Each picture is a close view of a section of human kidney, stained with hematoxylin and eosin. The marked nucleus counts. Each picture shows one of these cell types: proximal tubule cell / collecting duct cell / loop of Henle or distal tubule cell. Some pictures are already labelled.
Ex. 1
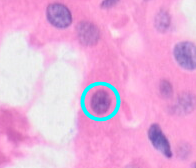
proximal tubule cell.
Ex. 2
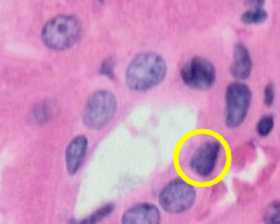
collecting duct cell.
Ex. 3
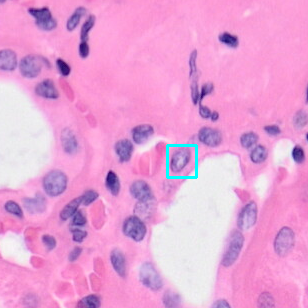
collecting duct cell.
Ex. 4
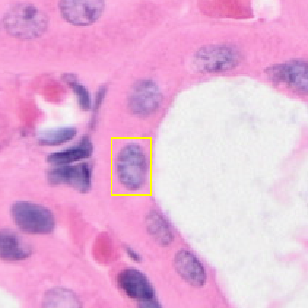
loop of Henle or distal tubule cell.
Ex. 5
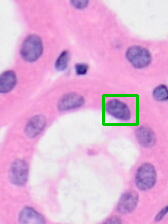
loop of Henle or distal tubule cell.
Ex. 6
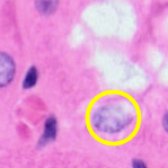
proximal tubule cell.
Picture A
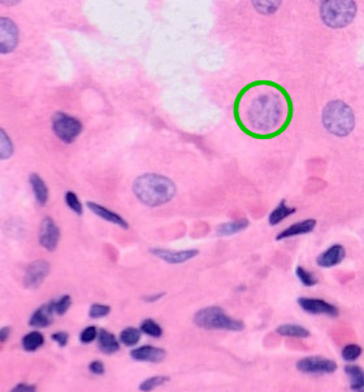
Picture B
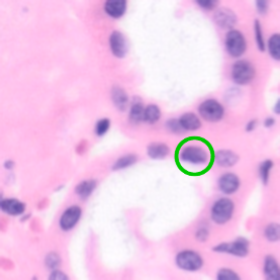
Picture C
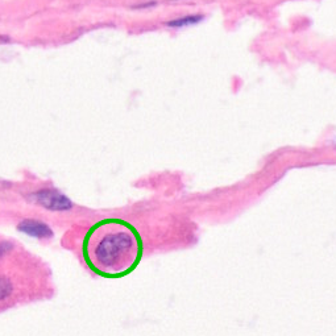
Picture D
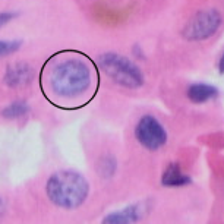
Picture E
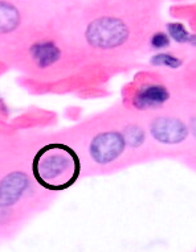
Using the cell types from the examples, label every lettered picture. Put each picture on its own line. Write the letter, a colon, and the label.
A: proximal tubule cell.
B: collecting duct cell.
C: proximal tubule cell.
D: loop of Henle or distal tubule cell.
E: collecting duct cell.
